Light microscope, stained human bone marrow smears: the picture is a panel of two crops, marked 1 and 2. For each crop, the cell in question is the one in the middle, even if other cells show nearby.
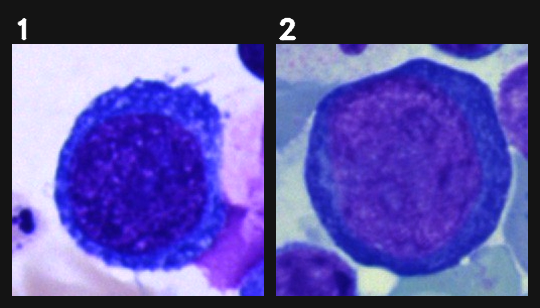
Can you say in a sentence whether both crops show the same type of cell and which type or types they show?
Yes, proerythroblasts are the central cells in the two crops.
